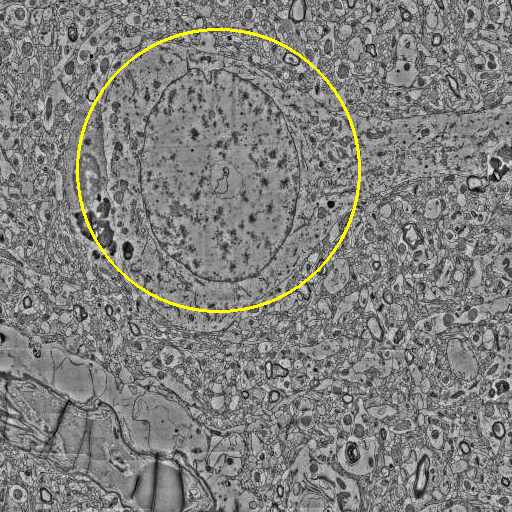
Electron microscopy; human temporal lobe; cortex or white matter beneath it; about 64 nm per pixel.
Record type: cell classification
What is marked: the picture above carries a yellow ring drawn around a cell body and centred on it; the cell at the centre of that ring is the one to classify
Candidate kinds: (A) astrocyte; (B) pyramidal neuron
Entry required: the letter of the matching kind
B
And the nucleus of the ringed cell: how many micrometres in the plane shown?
In this plane, about 14 micrometres in length and 10 in width.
